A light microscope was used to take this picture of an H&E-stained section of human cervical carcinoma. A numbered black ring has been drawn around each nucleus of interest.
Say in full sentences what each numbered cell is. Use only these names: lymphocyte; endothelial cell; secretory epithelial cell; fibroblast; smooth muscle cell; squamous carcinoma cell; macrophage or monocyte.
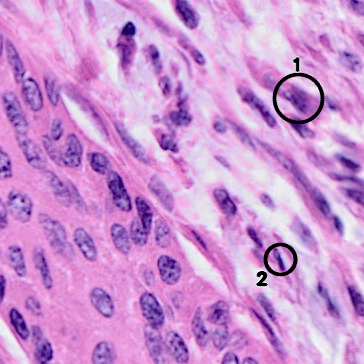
Cell 1 is a macrophage or monocyte and cell 2 is a fibroblast.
